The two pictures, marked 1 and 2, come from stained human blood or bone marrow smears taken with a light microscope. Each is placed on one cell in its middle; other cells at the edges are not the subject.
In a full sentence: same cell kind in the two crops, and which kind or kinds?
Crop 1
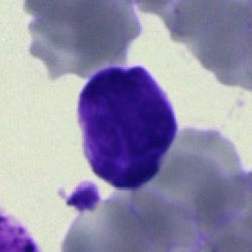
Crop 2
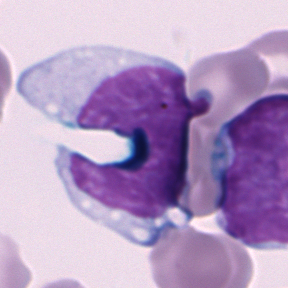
No, crop 1 features a lymphocyte, and crop 2 features a blast.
